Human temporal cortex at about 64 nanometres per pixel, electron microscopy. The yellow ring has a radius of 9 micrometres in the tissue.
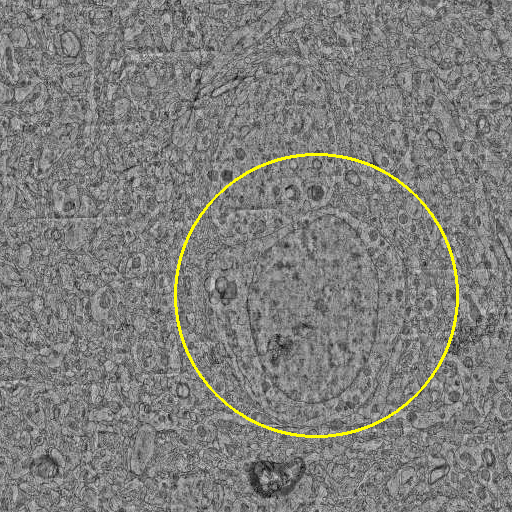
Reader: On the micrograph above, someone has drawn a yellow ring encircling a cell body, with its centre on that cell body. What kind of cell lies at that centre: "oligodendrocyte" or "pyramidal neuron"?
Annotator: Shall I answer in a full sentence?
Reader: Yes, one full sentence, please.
Here a pyramidal neuron sits at the centre of the yellow ring drawn on the micrograph.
